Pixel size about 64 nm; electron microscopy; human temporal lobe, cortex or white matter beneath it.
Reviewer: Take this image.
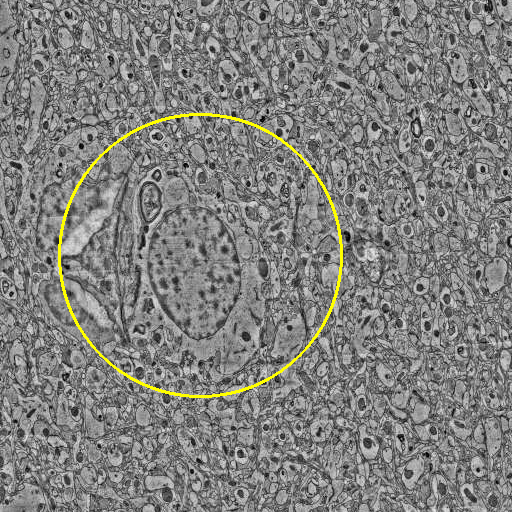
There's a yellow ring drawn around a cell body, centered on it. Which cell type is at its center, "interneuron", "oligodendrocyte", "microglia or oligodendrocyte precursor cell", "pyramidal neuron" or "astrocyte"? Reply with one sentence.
At the center of the yellow ring is an astrocyte.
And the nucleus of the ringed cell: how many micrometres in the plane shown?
In this plane, the nucleus of the cell at the centre of the ring measures about 8 by 6 micrometres.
